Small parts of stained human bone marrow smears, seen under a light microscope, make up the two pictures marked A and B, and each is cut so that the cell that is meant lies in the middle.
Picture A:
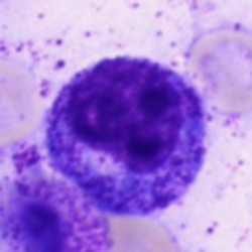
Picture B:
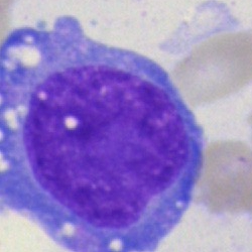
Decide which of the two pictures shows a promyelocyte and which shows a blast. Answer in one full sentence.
The cell in picture A is a promyelocyte, and the one in picture B is a blast.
